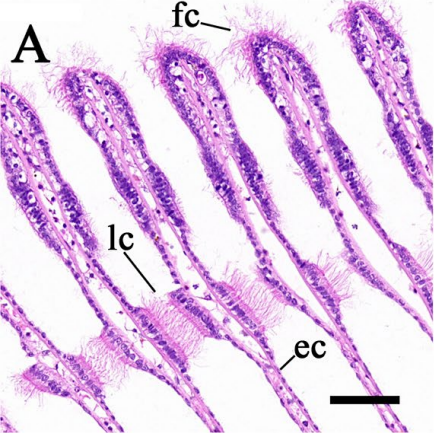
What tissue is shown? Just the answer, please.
Gills.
